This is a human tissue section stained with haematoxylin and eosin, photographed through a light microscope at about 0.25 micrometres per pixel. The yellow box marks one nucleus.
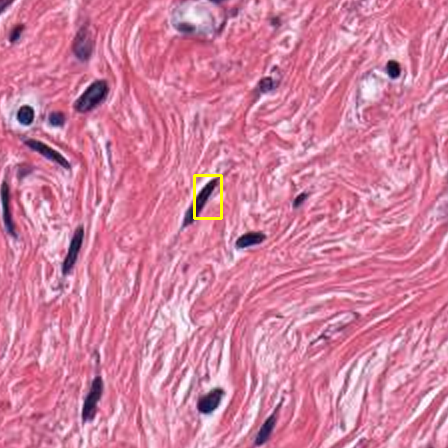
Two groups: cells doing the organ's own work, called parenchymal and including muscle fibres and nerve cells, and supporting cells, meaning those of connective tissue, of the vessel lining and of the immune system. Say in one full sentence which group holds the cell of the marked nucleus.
The marked nucleus is located within a supporting cell.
